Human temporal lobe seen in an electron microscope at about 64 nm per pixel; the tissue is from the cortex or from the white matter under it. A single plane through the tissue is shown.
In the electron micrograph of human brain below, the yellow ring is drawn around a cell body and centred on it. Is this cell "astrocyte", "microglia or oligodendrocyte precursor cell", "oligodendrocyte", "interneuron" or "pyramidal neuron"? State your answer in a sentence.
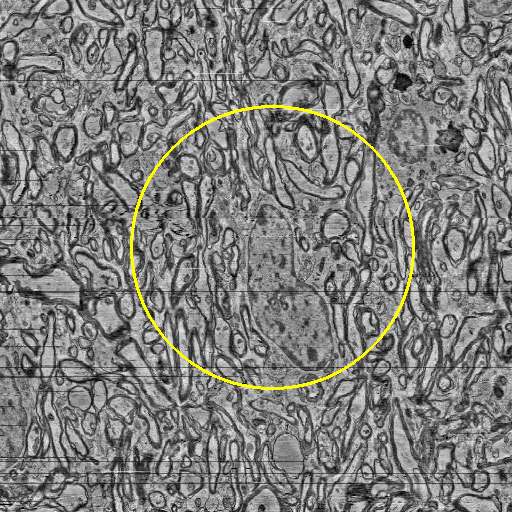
The cell in the middle of the ring is a microglial cell or oligodendrocyte precursor cell.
